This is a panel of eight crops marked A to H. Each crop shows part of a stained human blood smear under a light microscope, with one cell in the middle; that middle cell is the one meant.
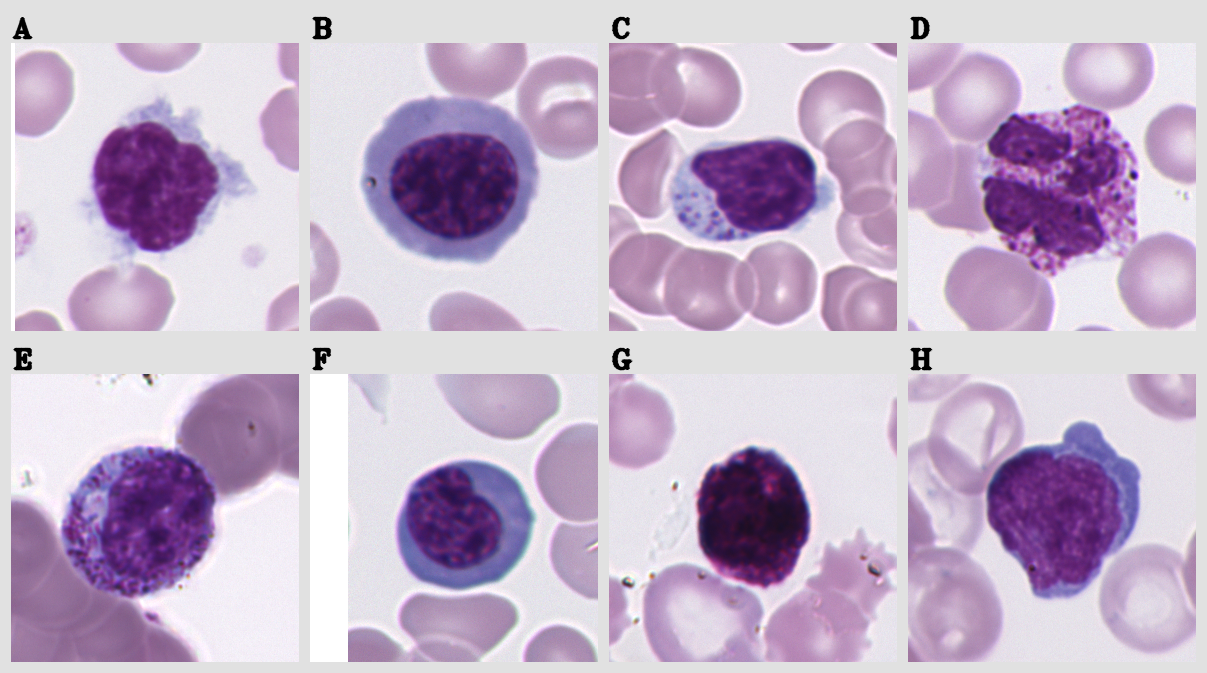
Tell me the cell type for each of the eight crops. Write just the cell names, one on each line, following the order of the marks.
hairy cell
erythroblast
large granular lymphocyte
basophil
promyelocyte
erythroblast
basophil
myeloblast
